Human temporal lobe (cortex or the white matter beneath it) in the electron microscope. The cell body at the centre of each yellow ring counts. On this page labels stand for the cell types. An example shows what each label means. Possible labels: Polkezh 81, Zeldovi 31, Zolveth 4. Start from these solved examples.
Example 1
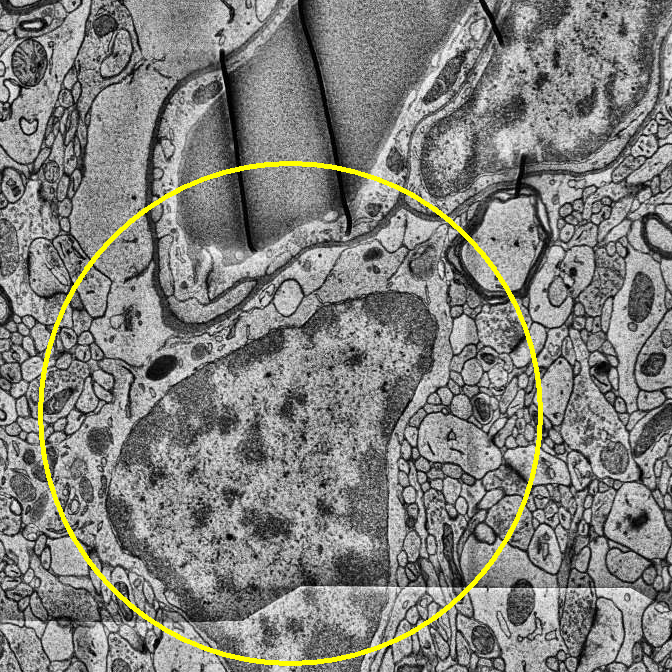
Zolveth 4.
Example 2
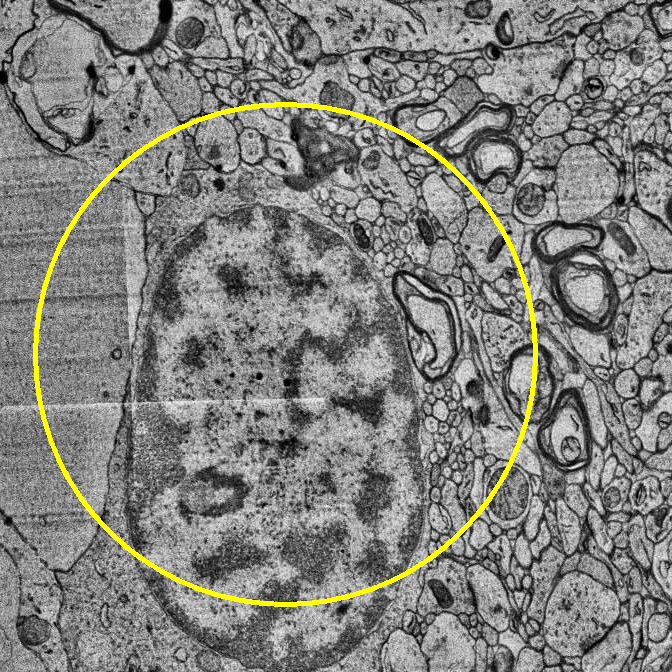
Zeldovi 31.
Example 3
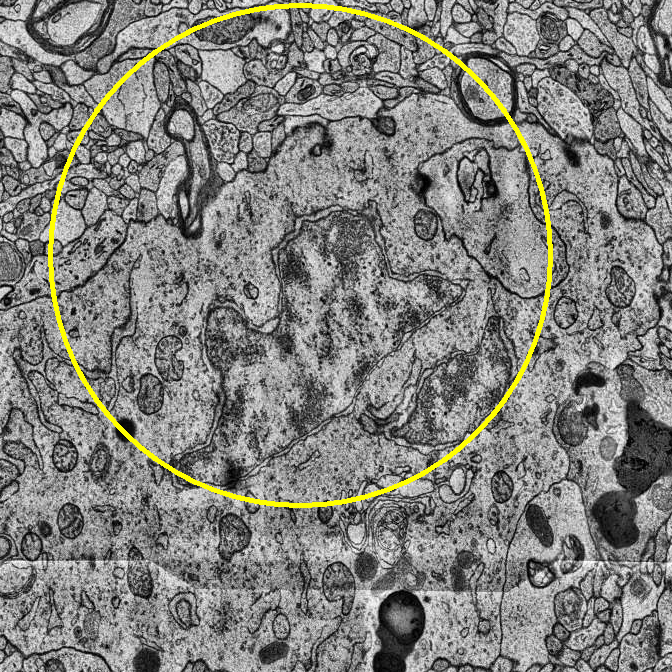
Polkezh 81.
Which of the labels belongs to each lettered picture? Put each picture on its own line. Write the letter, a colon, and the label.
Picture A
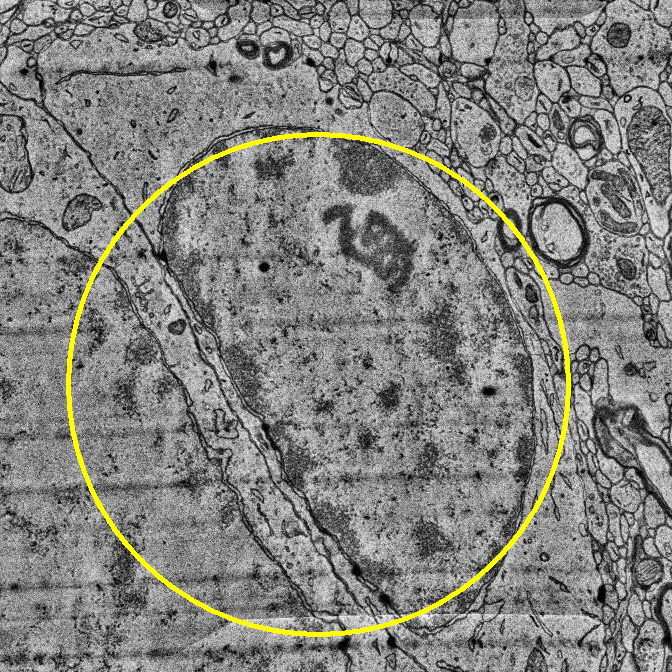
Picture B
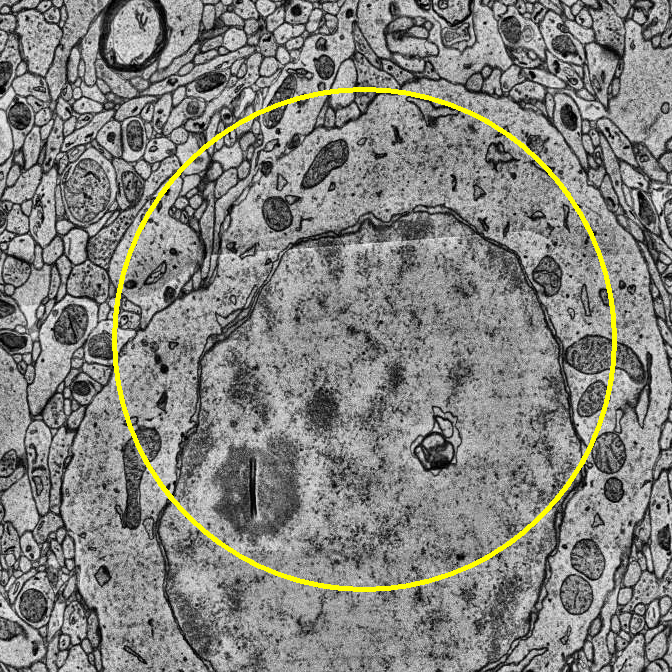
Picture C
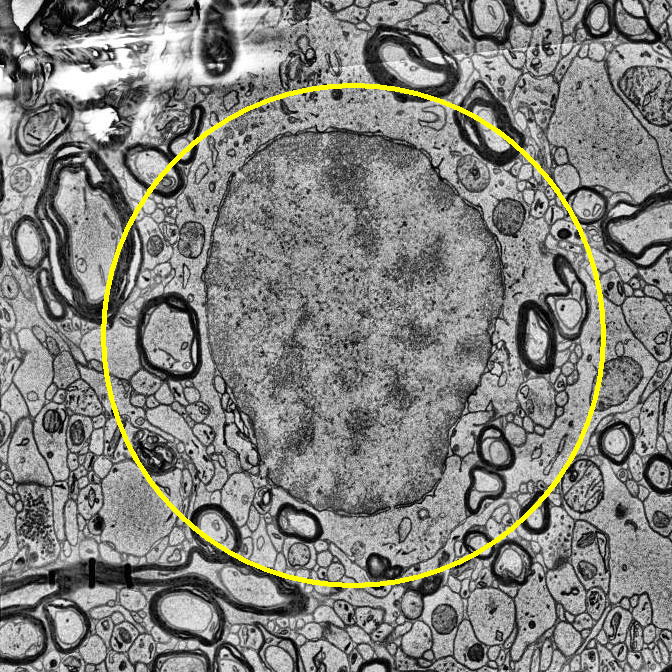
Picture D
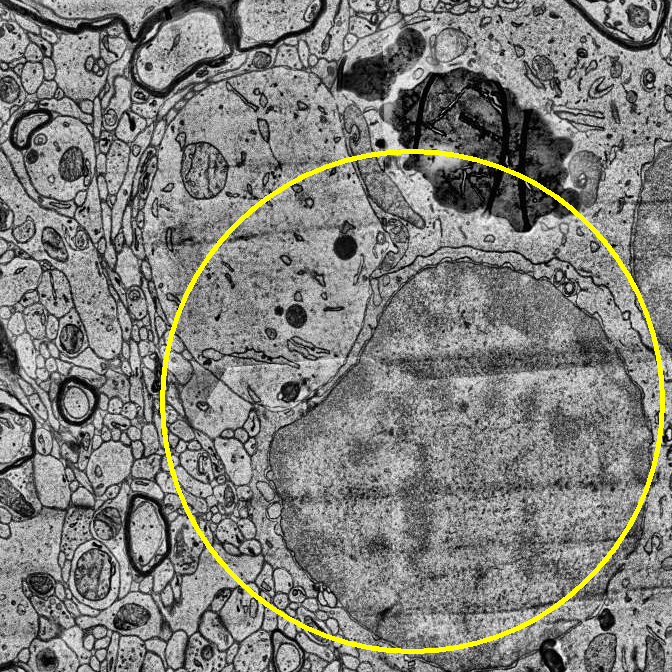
A: Zolveth 4.
B: Polkezh 81.
C: Zeldovi 31.
D: Zeldovi 31.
